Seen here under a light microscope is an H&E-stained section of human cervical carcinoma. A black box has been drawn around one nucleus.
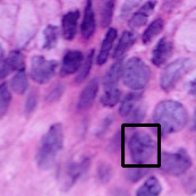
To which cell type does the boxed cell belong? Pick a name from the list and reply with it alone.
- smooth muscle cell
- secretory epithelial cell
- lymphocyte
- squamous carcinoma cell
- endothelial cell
secretory epithelial cell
